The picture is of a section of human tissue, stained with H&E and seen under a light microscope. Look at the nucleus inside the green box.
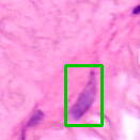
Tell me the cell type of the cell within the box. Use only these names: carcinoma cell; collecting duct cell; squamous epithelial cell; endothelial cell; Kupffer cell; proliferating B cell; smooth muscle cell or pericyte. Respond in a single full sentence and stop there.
Within the stained tissue, the cell within the box is a smooth muscle cell or pericyte.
